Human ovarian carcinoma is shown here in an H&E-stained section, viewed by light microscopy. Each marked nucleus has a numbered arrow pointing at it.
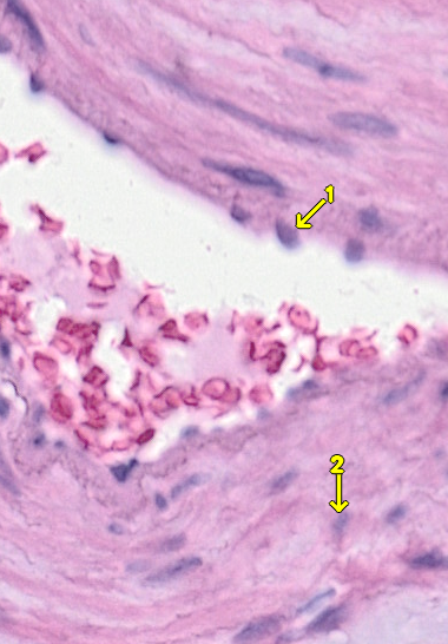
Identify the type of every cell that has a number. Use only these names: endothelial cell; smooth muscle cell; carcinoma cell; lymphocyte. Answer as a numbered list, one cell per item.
1. endothelial cell
2. smooth muscle cell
